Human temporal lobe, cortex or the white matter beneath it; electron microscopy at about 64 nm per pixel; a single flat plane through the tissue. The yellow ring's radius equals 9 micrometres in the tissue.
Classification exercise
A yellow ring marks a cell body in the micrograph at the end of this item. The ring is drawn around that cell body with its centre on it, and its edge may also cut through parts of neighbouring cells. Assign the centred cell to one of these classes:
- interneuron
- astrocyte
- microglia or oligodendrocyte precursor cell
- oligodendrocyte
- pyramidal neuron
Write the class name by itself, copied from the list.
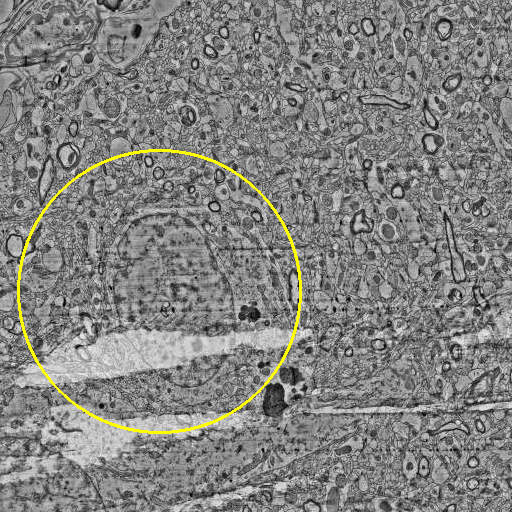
interneuron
